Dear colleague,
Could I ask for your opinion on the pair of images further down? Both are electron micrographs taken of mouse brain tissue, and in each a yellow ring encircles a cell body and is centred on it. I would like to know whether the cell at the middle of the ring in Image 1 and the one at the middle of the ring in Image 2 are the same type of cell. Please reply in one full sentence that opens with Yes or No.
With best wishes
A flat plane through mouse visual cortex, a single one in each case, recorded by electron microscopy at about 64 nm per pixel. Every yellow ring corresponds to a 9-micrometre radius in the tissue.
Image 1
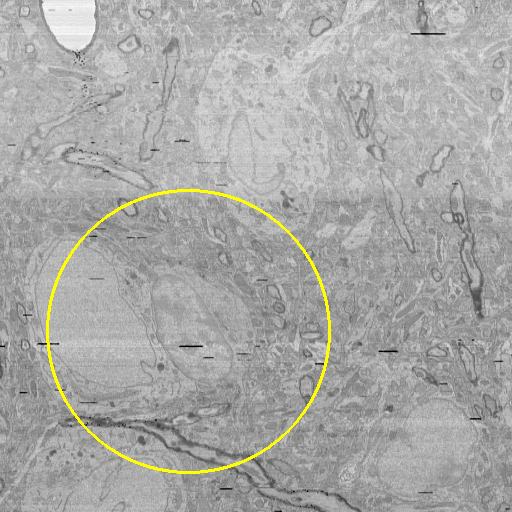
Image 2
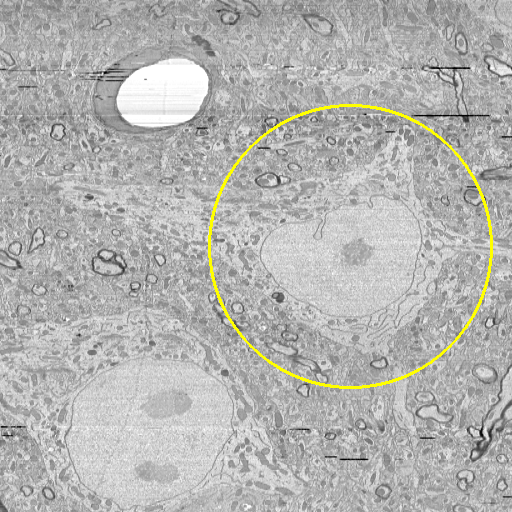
No, the cells at the ring centres in Image 1 and Image 2 are of two types.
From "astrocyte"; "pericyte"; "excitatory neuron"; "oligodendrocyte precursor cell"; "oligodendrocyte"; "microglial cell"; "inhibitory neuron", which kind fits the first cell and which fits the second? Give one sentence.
The cell marked in the first picture is an oligodendrocyte, and the one marked in the second is an excitatory neuron.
